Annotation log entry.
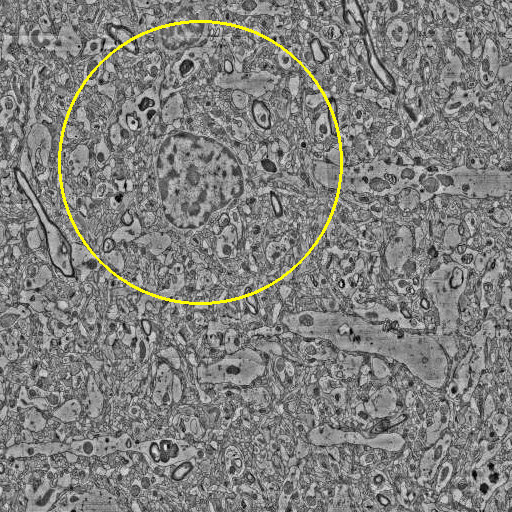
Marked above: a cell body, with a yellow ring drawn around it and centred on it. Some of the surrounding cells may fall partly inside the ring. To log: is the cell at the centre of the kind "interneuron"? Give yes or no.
No, the cell at the centre is of another kind.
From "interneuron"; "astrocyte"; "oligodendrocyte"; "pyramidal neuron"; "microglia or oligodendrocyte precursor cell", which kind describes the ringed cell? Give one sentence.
The cell this ring marks is a microglial cell or oligodendrocyte precursor cell.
